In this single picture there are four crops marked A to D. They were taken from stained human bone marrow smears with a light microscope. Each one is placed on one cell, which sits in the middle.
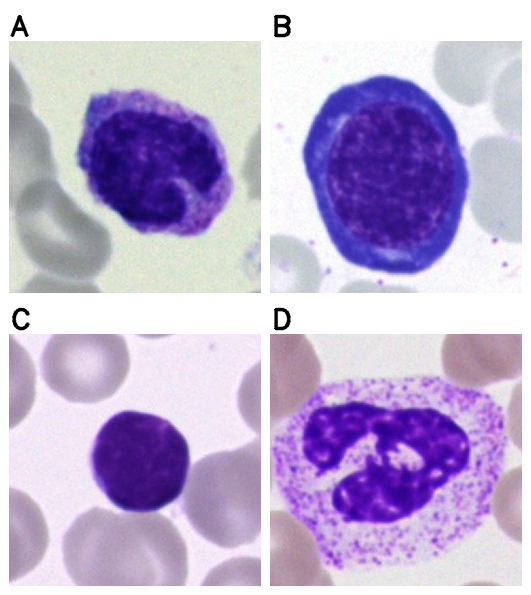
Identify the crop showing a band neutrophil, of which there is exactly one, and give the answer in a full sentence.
Crop A is the single crop that shows a band neutrophil.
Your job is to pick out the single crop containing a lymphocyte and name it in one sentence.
The crop with a lymphocyte at its center is crop C.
